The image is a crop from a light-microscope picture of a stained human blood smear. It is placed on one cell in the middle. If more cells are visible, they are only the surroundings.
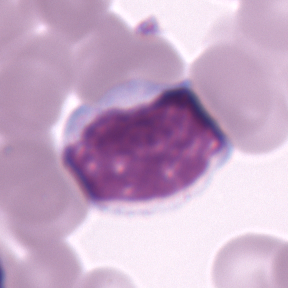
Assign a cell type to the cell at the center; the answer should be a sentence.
At the middle of the frame sits a large granular lymphocyte.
